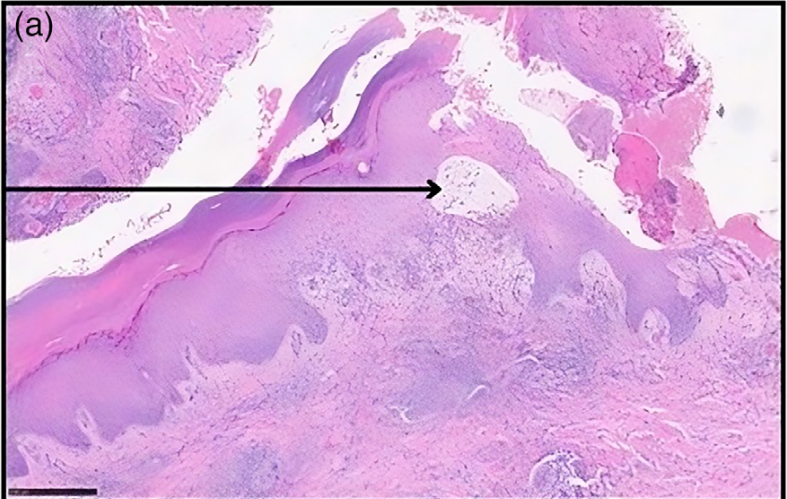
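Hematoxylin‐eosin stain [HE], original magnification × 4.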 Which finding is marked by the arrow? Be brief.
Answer: intraepidermal edema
